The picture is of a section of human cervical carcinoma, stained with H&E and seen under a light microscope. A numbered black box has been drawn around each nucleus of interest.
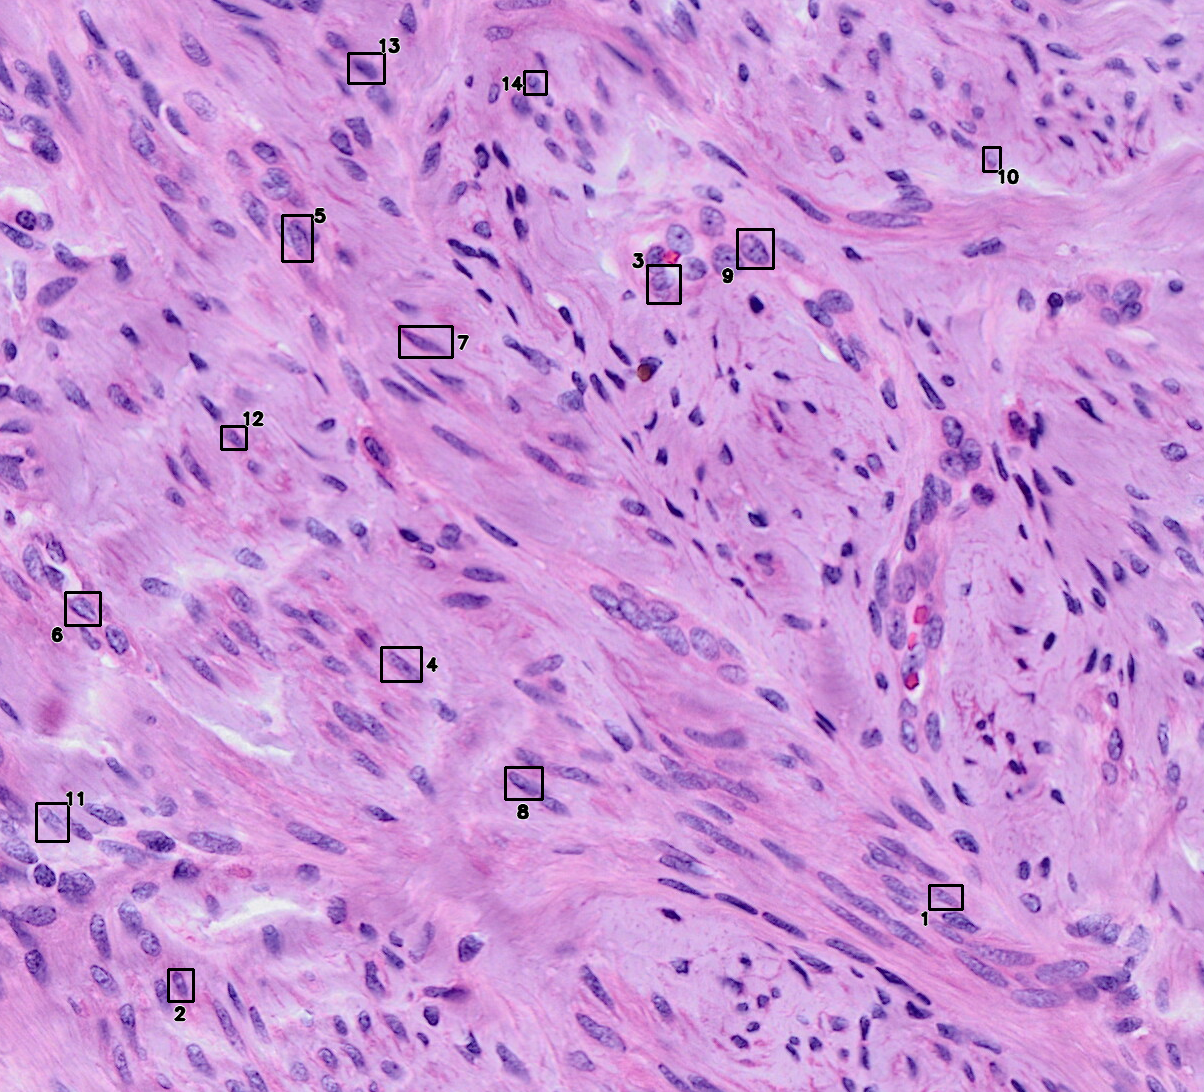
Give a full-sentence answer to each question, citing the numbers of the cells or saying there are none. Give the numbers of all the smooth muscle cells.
The cells given the numbers 1, 2, 4, 7, 8, 10, 12 and 14 are smooth muscle cells.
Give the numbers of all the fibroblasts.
The cells whose numbers are 11 and 13 are fibroblasts.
